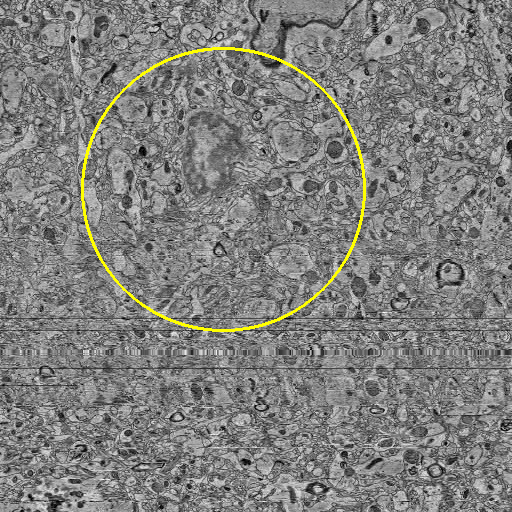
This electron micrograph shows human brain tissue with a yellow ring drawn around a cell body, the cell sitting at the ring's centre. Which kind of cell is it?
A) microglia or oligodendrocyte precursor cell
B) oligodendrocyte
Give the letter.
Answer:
B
